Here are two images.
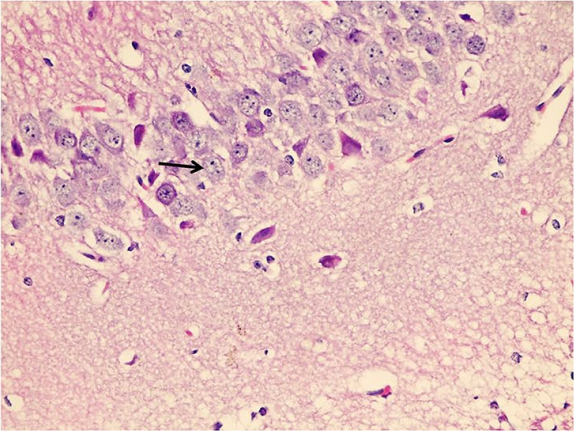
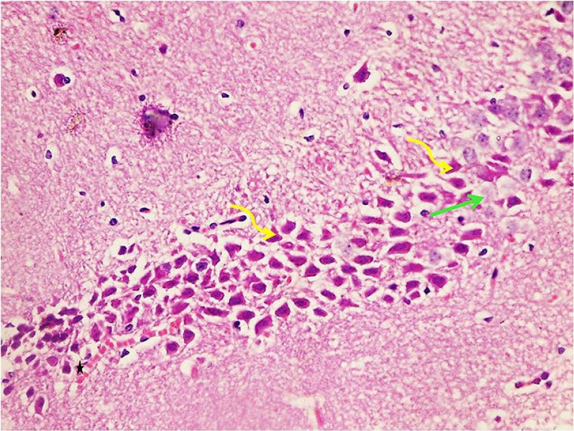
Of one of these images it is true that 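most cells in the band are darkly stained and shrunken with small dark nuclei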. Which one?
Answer: The second image.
